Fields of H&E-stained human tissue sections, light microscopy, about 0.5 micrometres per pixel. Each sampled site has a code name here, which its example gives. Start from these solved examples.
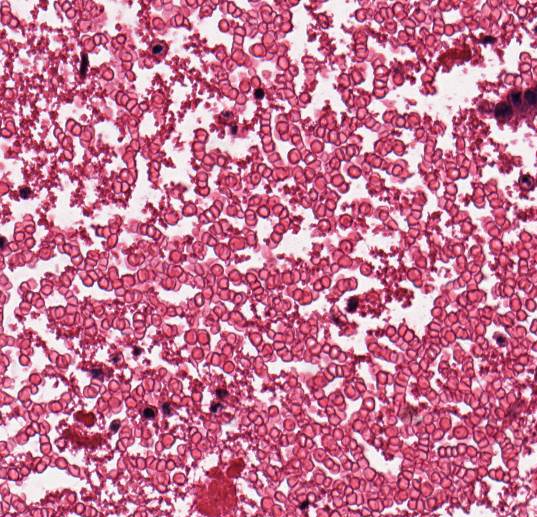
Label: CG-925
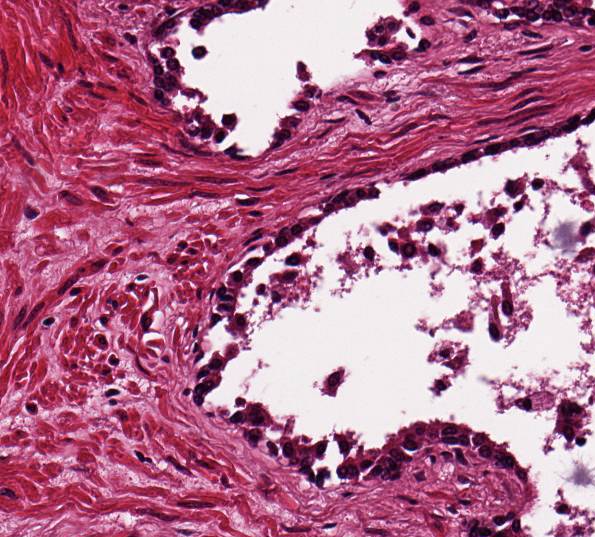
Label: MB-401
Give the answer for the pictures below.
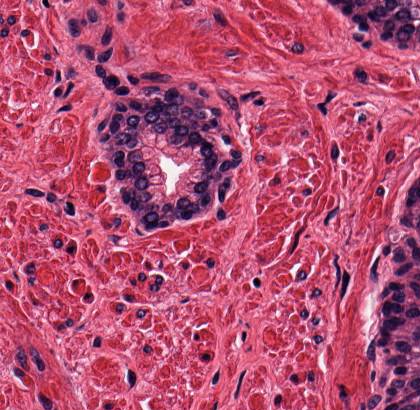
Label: MB-401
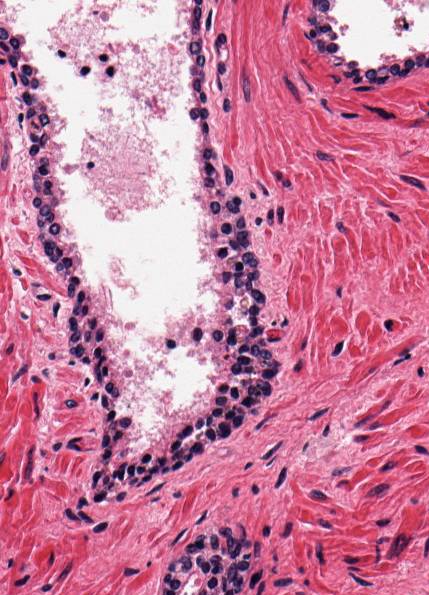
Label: MB-401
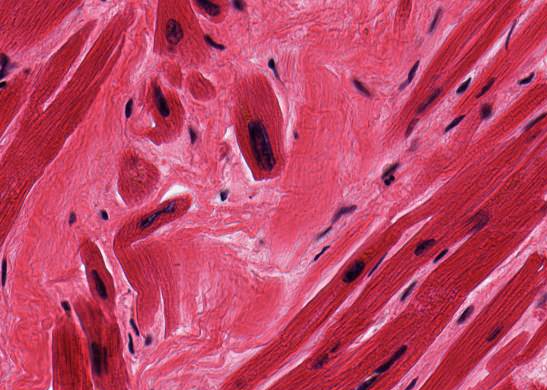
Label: CG-925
